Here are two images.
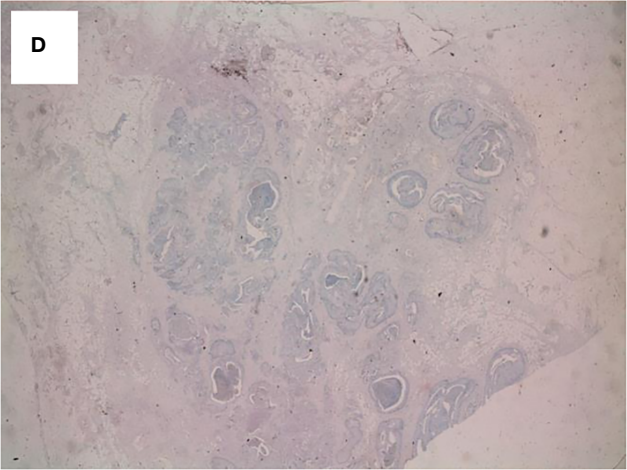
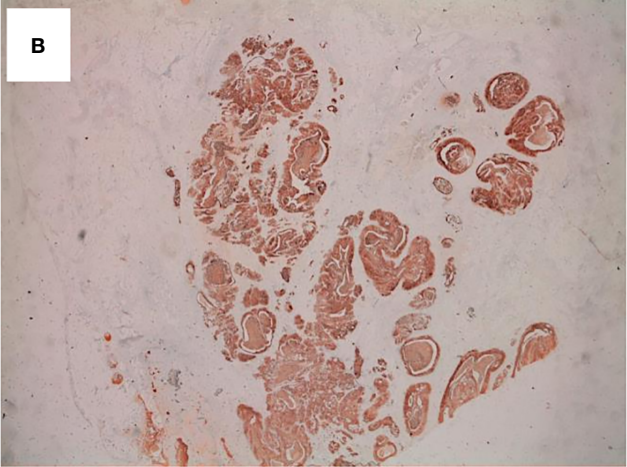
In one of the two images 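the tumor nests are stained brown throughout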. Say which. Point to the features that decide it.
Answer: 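First image: the tumor nests are pale blue-grey with no brown stain. Second image: the tumor nests are diffusely and strongly brown, the stroma around them is pale.
Hence: the second image.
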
